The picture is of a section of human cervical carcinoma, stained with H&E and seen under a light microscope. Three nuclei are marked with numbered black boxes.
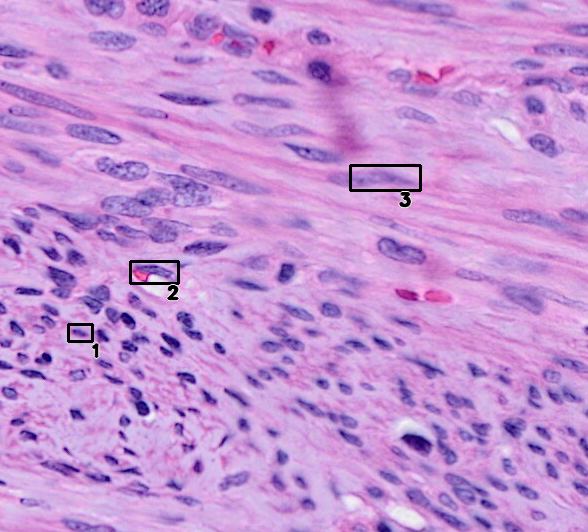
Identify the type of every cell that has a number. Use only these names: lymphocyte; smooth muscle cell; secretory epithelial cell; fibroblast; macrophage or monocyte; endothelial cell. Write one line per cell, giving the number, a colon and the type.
1: smooth muscle cell
2: endothelial cell
3: smooth muscle cell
